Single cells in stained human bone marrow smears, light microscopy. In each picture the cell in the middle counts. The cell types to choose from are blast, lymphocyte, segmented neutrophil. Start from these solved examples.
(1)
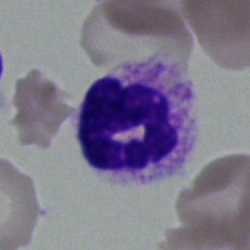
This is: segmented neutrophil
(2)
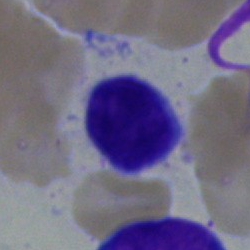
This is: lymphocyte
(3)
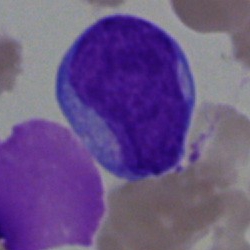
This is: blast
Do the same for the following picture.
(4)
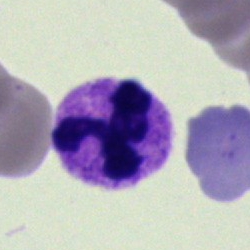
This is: segmented neutrophil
